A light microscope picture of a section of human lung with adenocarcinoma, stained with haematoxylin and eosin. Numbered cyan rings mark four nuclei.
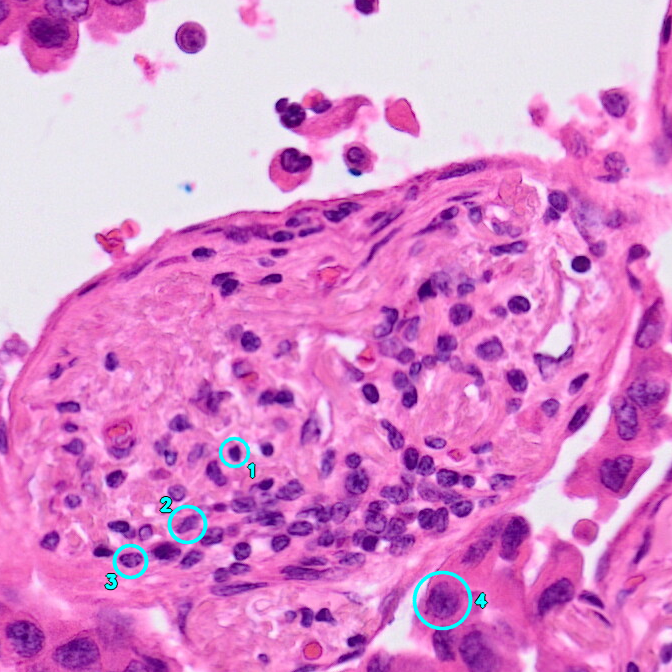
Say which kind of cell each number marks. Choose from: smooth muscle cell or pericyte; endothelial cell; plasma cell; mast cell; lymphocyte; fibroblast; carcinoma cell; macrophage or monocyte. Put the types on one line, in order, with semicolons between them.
lymphocyte; lymphocyte; lymphocyte; carcinoma cell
